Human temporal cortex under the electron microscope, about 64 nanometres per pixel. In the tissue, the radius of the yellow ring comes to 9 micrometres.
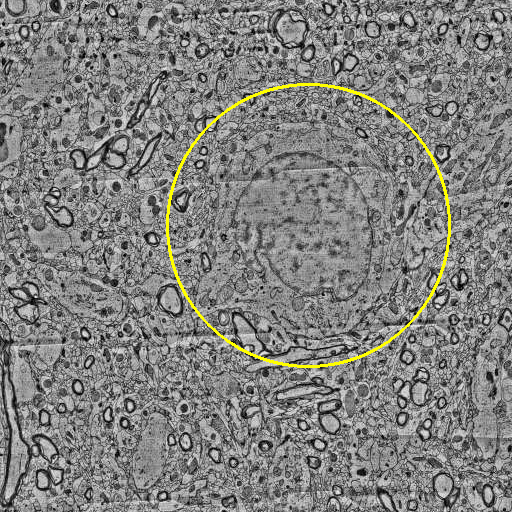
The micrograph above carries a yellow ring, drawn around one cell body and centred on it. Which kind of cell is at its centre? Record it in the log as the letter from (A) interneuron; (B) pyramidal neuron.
A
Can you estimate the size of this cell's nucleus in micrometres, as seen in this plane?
The ringed cell's nucleus is about 10 micrometres long and 8 micrometres wide in this plane.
